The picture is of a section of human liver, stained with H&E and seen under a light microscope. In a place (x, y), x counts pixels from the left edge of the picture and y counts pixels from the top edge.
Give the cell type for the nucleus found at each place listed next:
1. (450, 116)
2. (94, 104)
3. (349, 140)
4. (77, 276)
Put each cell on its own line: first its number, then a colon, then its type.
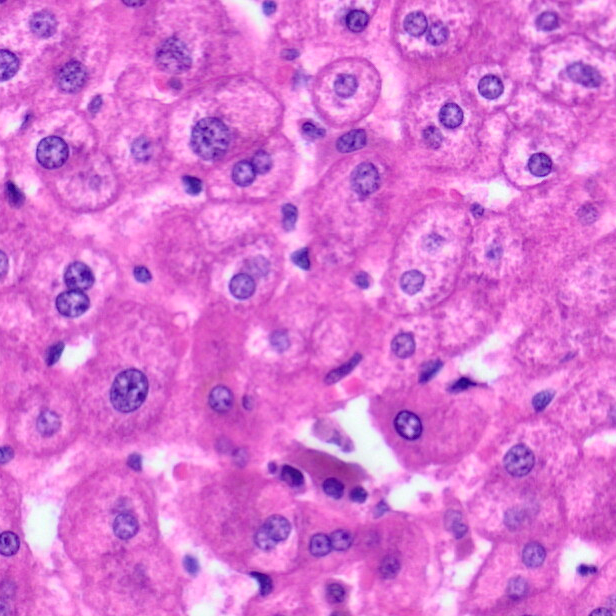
1: hepatocyte
2: Kupffer cell
3: Kupffer cell
4: hepatocyte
